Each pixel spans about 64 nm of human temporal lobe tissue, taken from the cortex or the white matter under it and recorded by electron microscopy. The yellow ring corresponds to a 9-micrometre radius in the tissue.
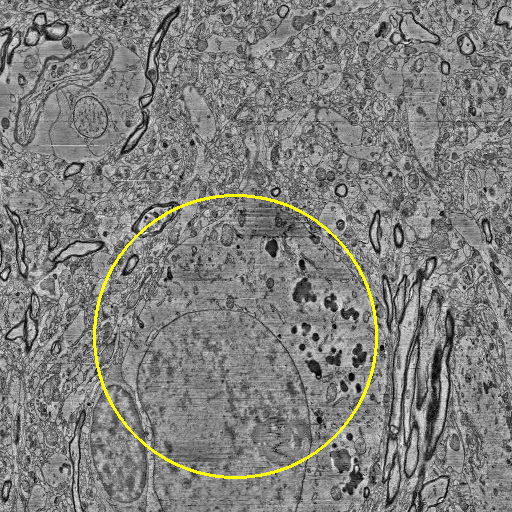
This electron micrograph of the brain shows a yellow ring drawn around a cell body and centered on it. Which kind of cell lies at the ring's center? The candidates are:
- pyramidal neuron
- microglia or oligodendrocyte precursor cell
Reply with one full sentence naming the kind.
The cell lying at the ring's center in this micrograph is a pyramidal neuron.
